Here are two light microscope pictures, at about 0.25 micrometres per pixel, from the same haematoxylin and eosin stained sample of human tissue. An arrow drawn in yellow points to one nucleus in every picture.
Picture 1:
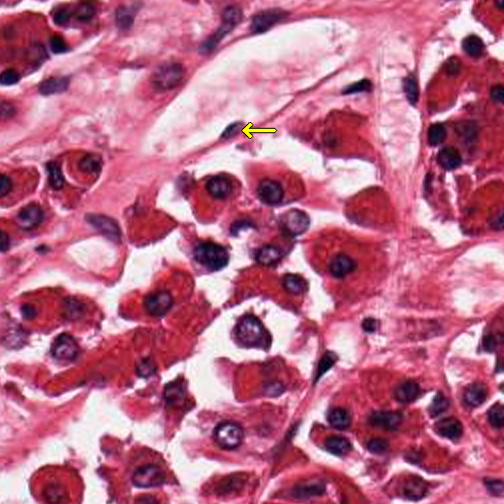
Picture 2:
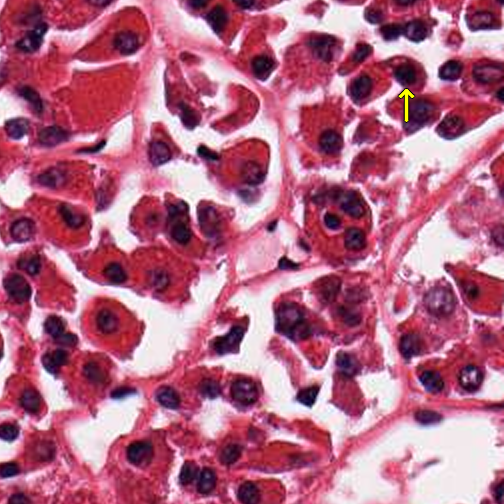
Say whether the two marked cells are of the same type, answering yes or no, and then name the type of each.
No, the first is an endothelial cell and the second an anterior pituitary cell.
